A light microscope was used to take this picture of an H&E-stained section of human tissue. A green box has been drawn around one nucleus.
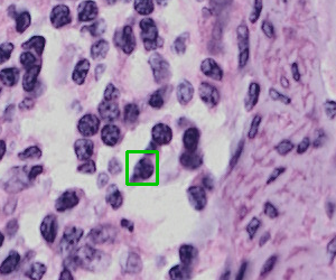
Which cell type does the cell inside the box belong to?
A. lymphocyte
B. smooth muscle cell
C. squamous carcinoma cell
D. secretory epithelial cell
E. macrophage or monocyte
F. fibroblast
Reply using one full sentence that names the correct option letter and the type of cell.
Among the choices, option A is correct, the cell inside the box being a lymphocyte.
